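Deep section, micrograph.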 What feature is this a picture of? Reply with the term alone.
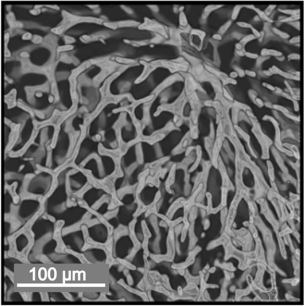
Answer: sinusoids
